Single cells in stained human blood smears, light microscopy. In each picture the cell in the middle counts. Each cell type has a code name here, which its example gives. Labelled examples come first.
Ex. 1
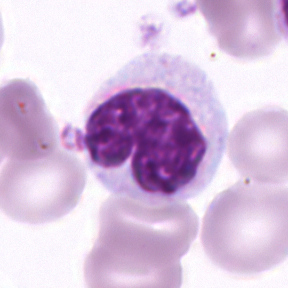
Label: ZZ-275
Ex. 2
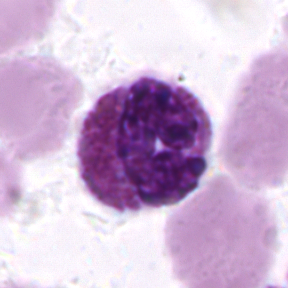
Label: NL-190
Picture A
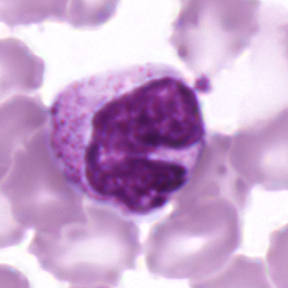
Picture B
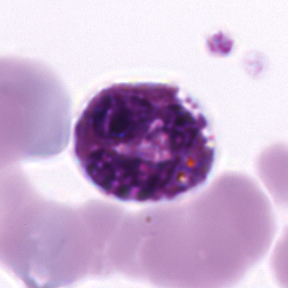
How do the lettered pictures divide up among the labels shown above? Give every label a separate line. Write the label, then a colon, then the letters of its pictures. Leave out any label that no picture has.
ZZ-275: A
NL-190: B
